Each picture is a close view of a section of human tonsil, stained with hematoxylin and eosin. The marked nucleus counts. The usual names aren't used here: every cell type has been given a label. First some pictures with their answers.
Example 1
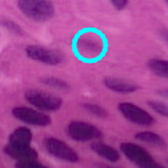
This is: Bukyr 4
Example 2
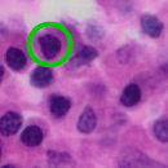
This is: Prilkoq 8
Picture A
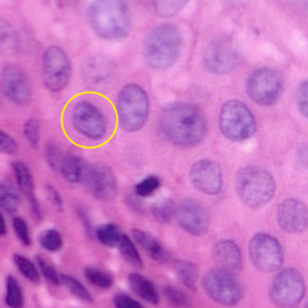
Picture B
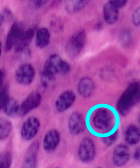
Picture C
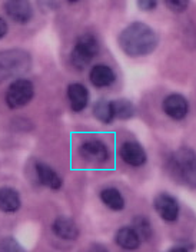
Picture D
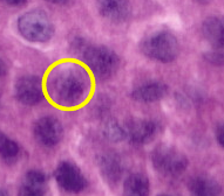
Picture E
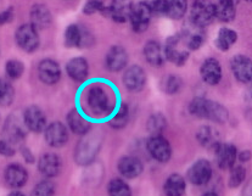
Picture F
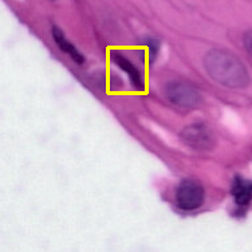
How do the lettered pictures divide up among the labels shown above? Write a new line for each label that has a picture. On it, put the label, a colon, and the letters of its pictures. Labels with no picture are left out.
Bukyr 4: A, D, F
Prilkoq 8: B, C, E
